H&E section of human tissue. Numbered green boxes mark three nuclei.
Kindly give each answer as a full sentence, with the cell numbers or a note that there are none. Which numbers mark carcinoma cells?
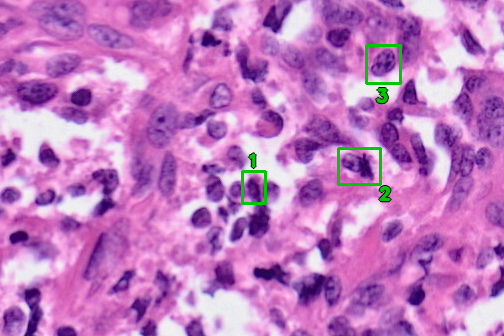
As for the numbered cells, only cell 1 is a carcinoma cell.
